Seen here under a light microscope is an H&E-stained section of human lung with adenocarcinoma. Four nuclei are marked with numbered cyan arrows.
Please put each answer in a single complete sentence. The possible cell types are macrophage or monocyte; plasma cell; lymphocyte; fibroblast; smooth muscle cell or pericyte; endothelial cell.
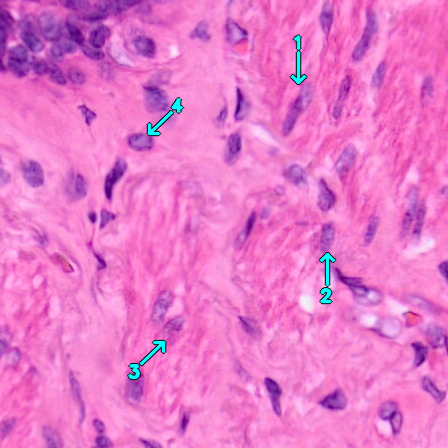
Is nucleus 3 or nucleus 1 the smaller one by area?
The smaller nucleus is 3, and 1 covers roughly 1.5 times its area.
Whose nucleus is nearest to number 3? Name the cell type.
Number 3 lies closest to the nucleus of a smooth muscle cell or pericyte.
